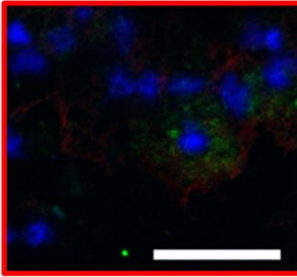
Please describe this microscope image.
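In the centre lies one cell with a round blue nucleus surrounded by a broad, rounded cytoplasm that glows green. Around it a thin, irregular red rim outlines the cell. Notice that the cell is swollen and compact: there are no long slender branches reaching out into the tissue, only short stubs at most. Scattered blue nuclei of neighbouring cells crowd above and to the sides, and the background between them is dark.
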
